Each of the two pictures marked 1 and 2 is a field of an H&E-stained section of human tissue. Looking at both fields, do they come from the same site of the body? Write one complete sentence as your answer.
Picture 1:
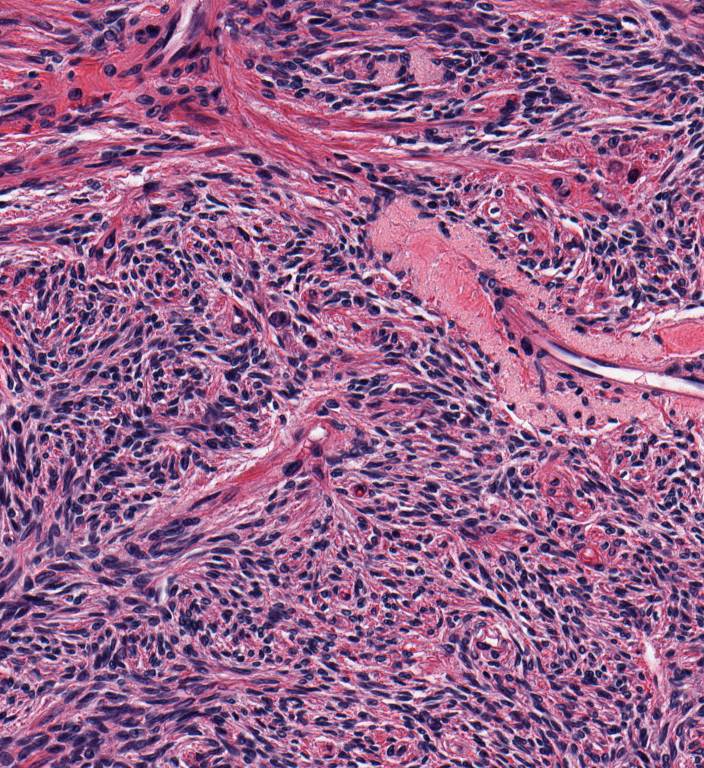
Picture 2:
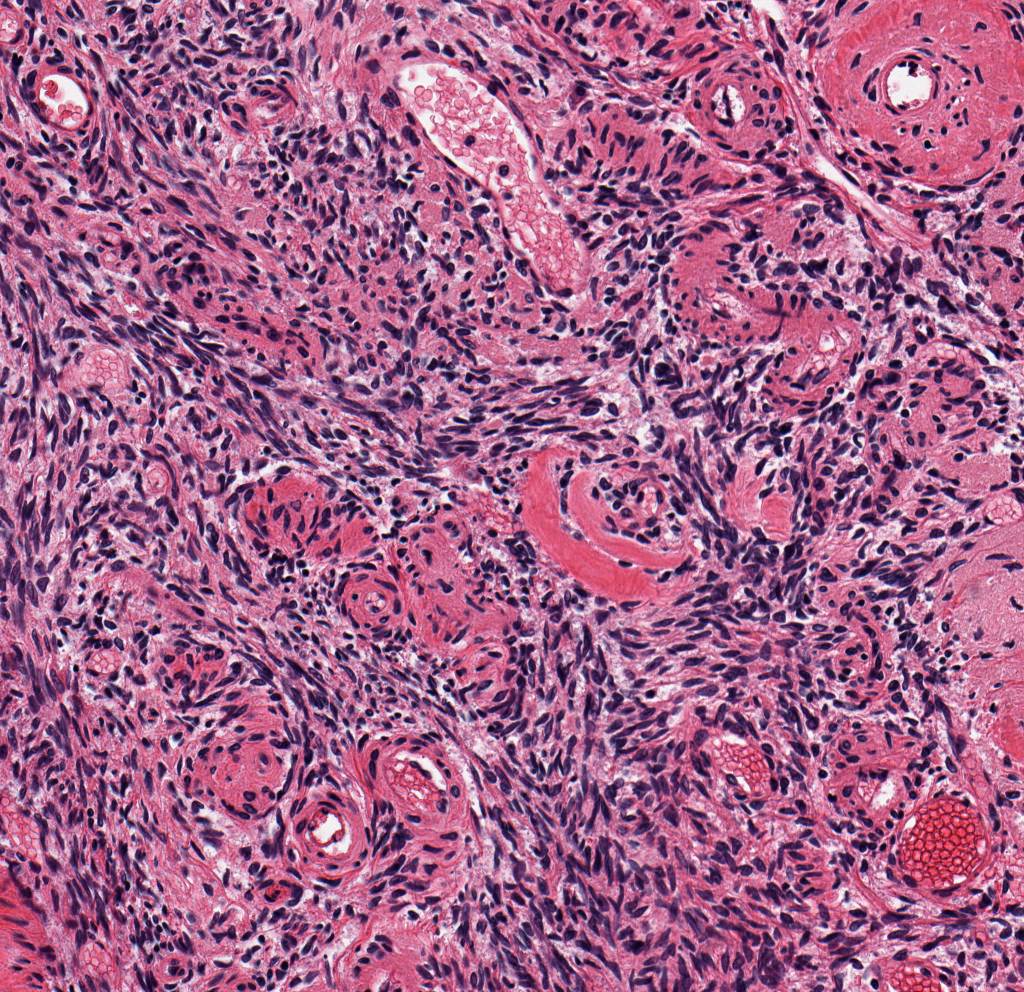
Yes, both come from the ovary.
